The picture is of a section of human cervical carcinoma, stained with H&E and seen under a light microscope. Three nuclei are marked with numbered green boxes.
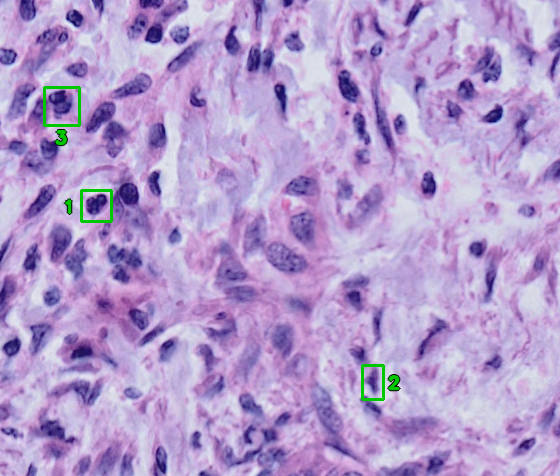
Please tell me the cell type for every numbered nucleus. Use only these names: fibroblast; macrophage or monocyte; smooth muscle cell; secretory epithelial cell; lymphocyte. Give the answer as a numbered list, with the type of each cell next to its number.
1. lymphocyte
2. fibroblast
3. lymphocyte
